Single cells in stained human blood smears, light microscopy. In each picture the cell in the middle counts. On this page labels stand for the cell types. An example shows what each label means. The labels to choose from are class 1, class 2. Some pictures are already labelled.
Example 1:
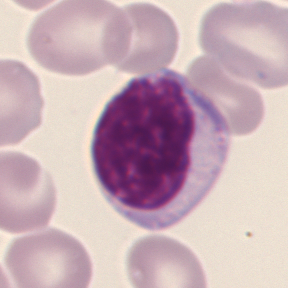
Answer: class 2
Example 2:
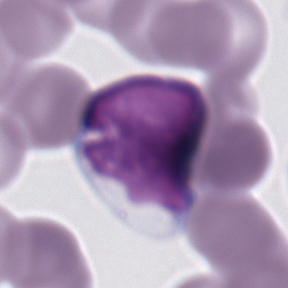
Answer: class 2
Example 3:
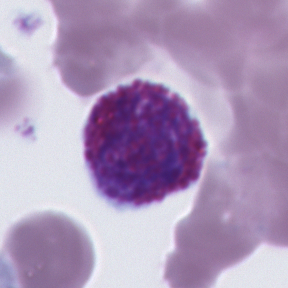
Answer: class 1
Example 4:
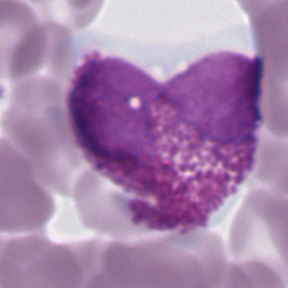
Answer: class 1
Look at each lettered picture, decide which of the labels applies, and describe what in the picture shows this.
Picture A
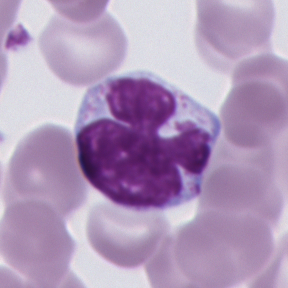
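class 2. Evidence: Fine, dust-like pinkish-purple granules are scattered through the cytoplasm.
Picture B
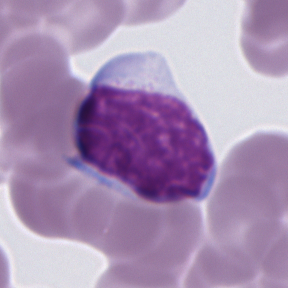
class 2. Evidence: A few fine reddish-purple granules lie in the cytoplasm along the upper edge of the nucleus.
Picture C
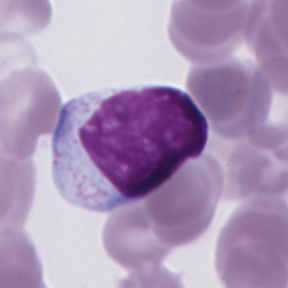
class 2. Evidence: Fine pink-red granules are scattered sparsely through the cytoplasm.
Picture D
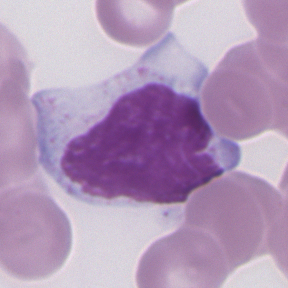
class 2. Evidence: Sparse fine pinkish-purple granules are scattered through the cytoplasm.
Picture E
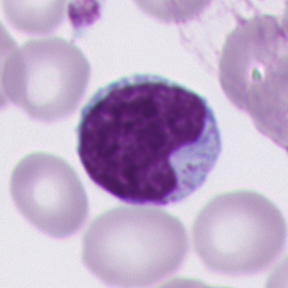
class 2. Evidence: A few fine purple granules lie in the cytoplasm near the notch.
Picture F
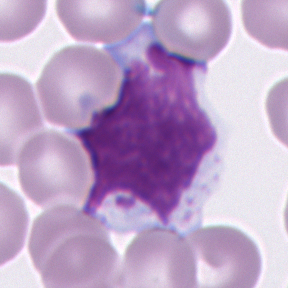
class 2. Evidence: A few fine purple granules lie in the cytoplasm at the lower right.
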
